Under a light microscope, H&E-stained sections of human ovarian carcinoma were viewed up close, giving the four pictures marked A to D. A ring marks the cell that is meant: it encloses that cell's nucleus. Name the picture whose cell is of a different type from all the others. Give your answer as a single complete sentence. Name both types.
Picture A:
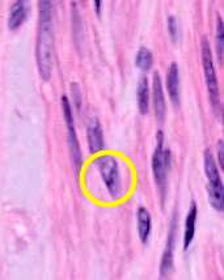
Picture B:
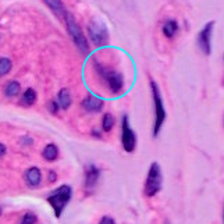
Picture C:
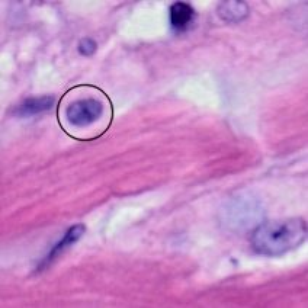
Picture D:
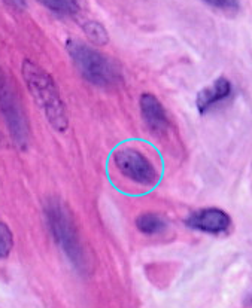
Picture C is the odd one out: it shows a lymphocyte, while the others show smooth muscle cells.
